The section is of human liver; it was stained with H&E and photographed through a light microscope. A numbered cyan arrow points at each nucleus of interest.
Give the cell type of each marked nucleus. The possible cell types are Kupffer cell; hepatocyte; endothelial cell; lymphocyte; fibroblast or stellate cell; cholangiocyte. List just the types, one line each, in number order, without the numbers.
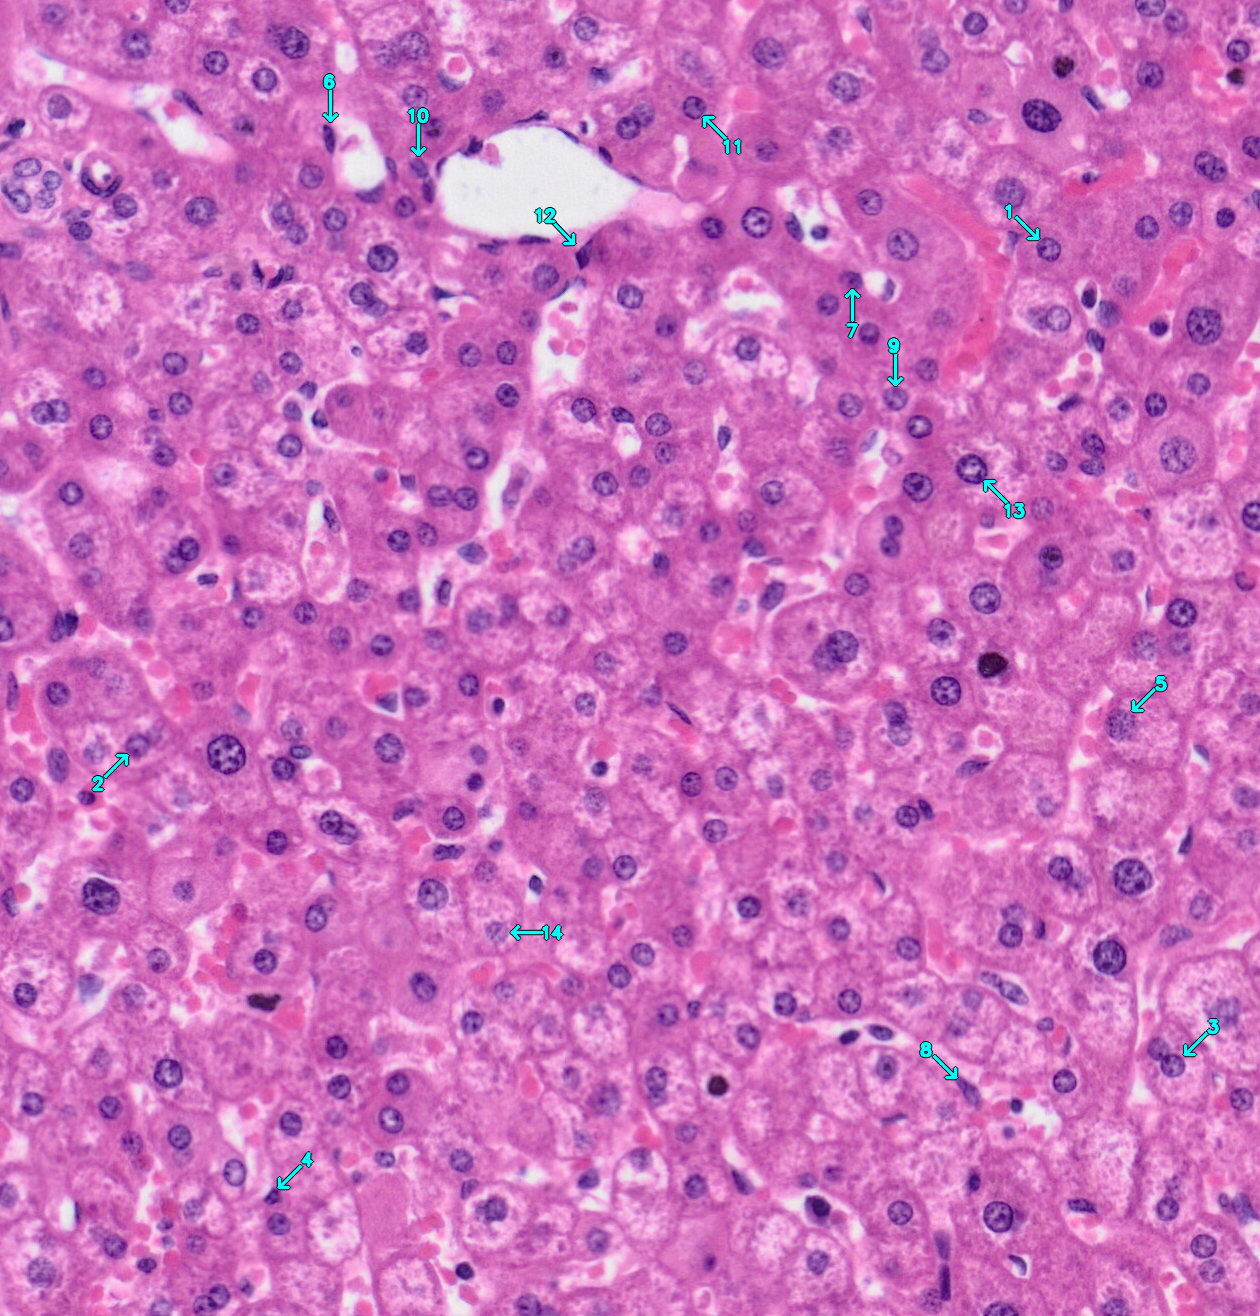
hepatocyte
hepatocyte
hepatocyte
fibroblast or stellate cell
hepatocyte
fibroblast or stellate cell
fibroblast or stellate cell
Kupffer cell
hepatocyte
fibroblast or stellate cell
hepatocyte
fibroblast or stellate cell
hepatocyte
hepatocyte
